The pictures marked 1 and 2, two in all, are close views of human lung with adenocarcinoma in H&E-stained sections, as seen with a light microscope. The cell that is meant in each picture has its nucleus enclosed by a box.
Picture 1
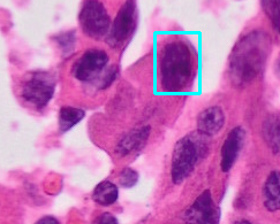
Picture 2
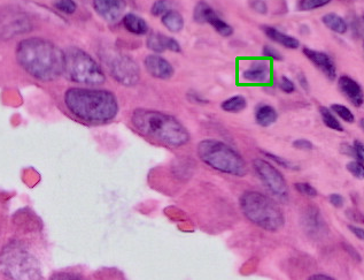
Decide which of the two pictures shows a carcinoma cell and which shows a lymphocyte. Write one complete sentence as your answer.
Picture 1 shows a carcinoma cell and picture 2 shows a lymphocyte.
